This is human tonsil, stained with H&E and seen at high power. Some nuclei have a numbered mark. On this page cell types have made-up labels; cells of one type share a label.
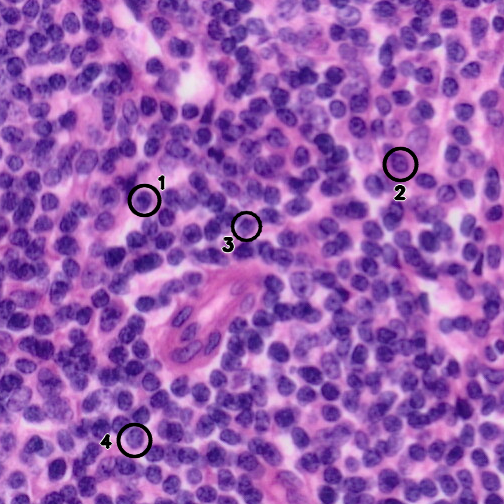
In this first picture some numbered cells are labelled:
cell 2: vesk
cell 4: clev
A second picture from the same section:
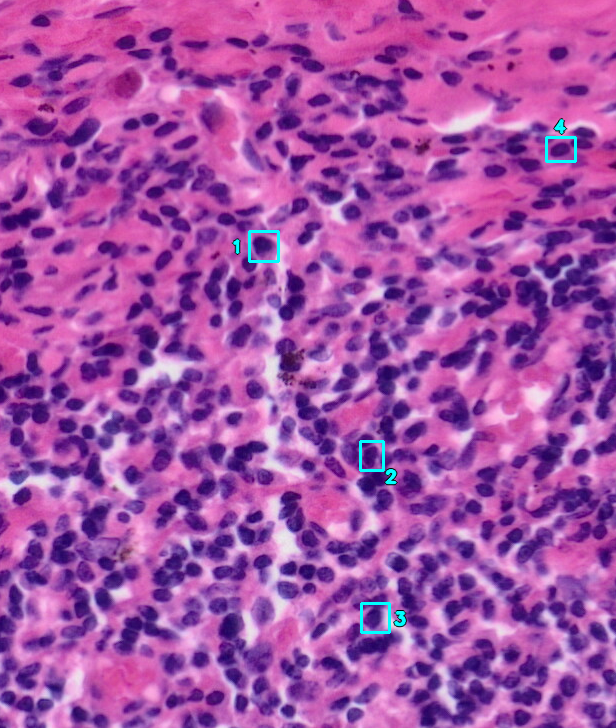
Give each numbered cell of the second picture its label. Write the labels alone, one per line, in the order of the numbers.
vesk
clev
clev
vesk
